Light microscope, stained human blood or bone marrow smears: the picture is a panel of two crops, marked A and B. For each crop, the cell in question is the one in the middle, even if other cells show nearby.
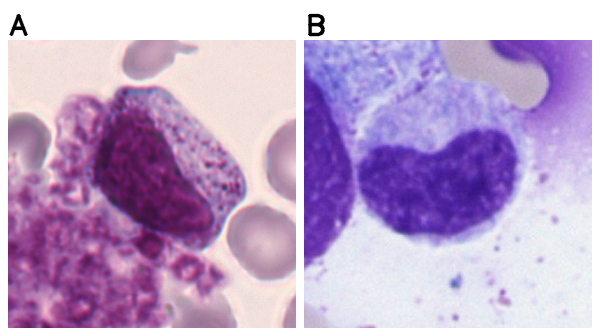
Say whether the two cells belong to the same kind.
yes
